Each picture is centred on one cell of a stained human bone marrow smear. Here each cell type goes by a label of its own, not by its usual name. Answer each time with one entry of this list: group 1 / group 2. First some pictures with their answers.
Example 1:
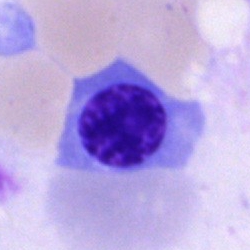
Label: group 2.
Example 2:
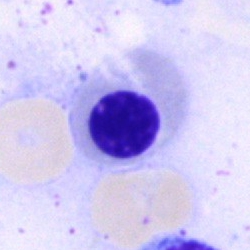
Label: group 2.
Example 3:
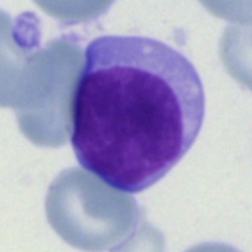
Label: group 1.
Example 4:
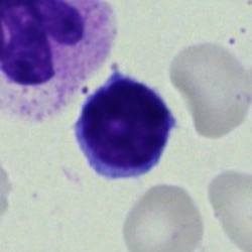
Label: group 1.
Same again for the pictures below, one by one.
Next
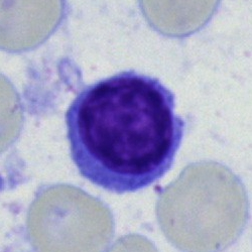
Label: group 1.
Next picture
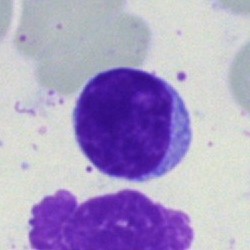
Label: group 1.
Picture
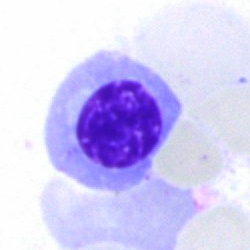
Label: group 2.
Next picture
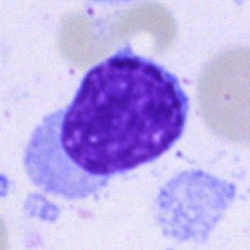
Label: group 1.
